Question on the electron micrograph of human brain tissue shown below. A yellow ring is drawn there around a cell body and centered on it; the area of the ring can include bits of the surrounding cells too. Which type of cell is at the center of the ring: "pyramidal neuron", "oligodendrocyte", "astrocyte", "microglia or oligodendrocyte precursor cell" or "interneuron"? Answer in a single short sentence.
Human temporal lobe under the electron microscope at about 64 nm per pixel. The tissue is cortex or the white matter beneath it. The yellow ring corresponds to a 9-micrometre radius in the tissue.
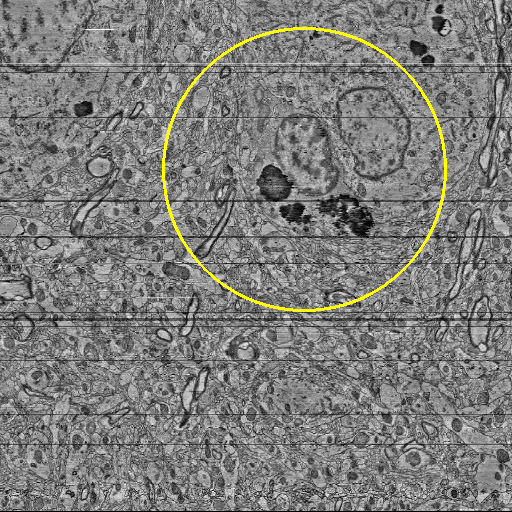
The ring is centered on an oligodendrocyte.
